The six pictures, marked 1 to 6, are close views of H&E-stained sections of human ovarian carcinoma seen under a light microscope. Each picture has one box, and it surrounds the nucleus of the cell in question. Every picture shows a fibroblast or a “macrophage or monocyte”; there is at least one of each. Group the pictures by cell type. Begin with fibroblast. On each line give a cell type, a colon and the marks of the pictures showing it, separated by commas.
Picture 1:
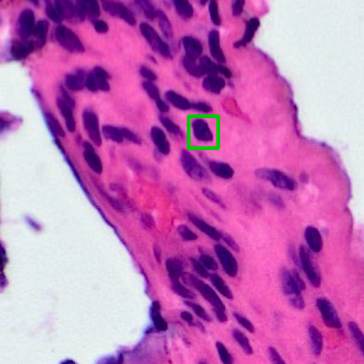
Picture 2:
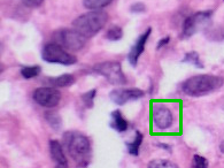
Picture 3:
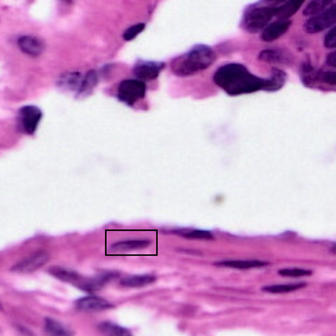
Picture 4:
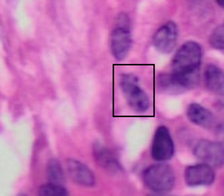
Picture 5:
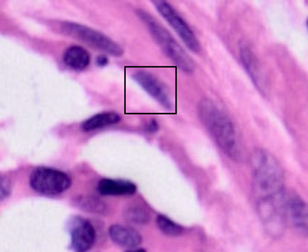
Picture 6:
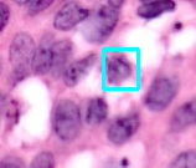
fibroblast: 3, 5
macrophage or monocyte: 1, 2, 4, 6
